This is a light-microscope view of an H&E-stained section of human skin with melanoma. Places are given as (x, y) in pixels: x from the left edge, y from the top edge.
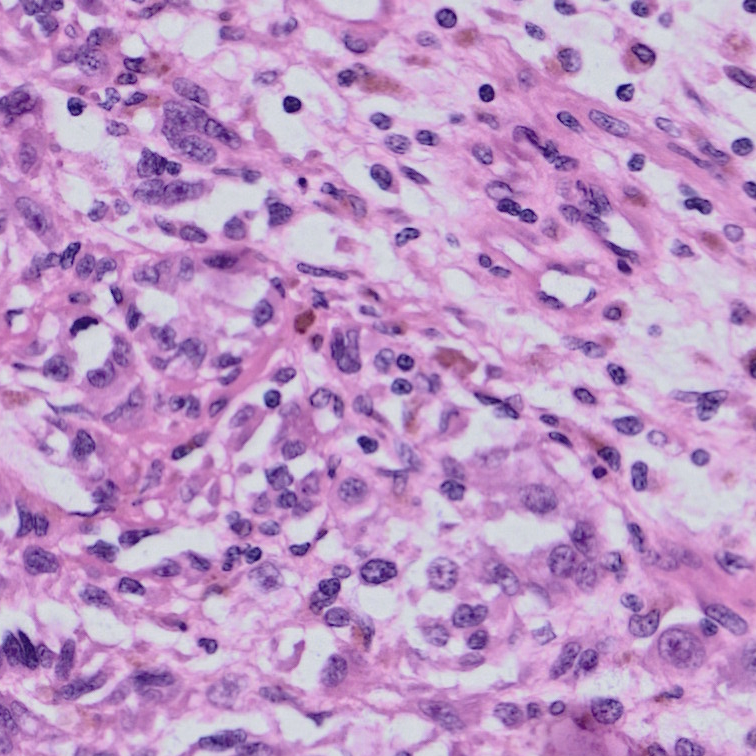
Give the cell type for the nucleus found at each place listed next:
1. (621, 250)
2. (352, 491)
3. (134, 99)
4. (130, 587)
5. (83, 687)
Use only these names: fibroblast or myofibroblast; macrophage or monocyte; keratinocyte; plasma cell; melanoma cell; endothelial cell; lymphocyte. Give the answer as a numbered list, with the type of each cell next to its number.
1. endothelial cell
2. melanoma cell
3. macrophage or monocyte
4. melanoma cell
5. melanoma cell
